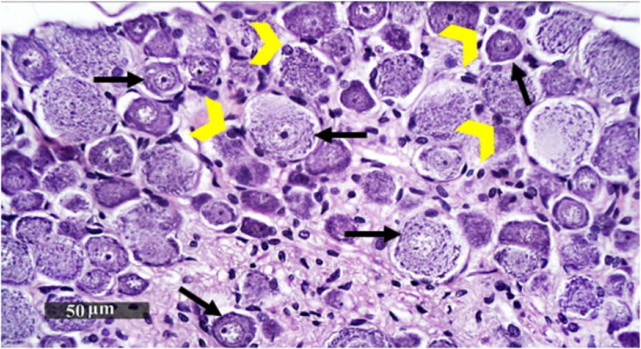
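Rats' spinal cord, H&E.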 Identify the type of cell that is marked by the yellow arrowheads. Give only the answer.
Satellite ganglionic cells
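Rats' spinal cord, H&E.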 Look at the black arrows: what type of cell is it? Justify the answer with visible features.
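Large round cell bodies with granular purple cytoplasm. Marked cells vary in size. That points to this answer: small and large neuronal types.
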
